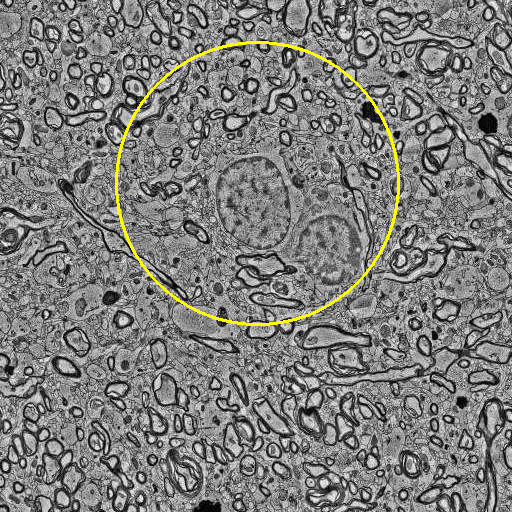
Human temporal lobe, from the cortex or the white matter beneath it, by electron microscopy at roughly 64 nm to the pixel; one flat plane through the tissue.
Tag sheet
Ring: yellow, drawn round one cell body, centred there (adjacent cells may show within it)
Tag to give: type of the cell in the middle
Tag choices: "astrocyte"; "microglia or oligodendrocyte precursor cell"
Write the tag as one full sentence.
I tag the cell centred in the yellow ring as a microglial cell or oligodendrocyte precursor cell in this picture.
